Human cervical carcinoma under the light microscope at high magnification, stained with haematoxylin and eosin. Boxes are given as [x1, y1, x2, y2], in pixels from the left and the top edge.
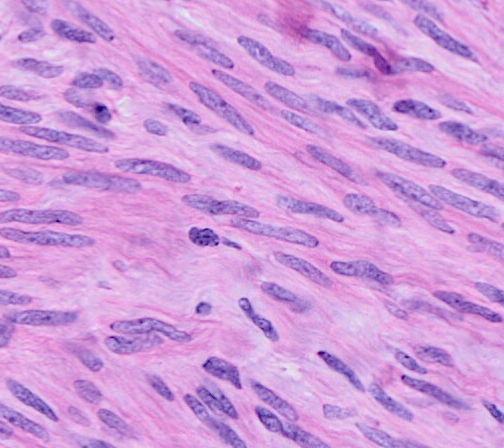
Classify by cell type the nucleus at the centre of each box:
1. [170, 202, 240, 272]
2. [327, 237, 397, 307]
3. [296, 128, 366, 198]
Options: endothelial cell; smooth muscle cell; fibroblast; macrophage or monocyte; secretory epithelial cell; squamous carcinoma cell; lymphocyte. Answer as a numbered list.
1. lymphocyte
2. smooth muscle cell
3. smooth muscle cell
